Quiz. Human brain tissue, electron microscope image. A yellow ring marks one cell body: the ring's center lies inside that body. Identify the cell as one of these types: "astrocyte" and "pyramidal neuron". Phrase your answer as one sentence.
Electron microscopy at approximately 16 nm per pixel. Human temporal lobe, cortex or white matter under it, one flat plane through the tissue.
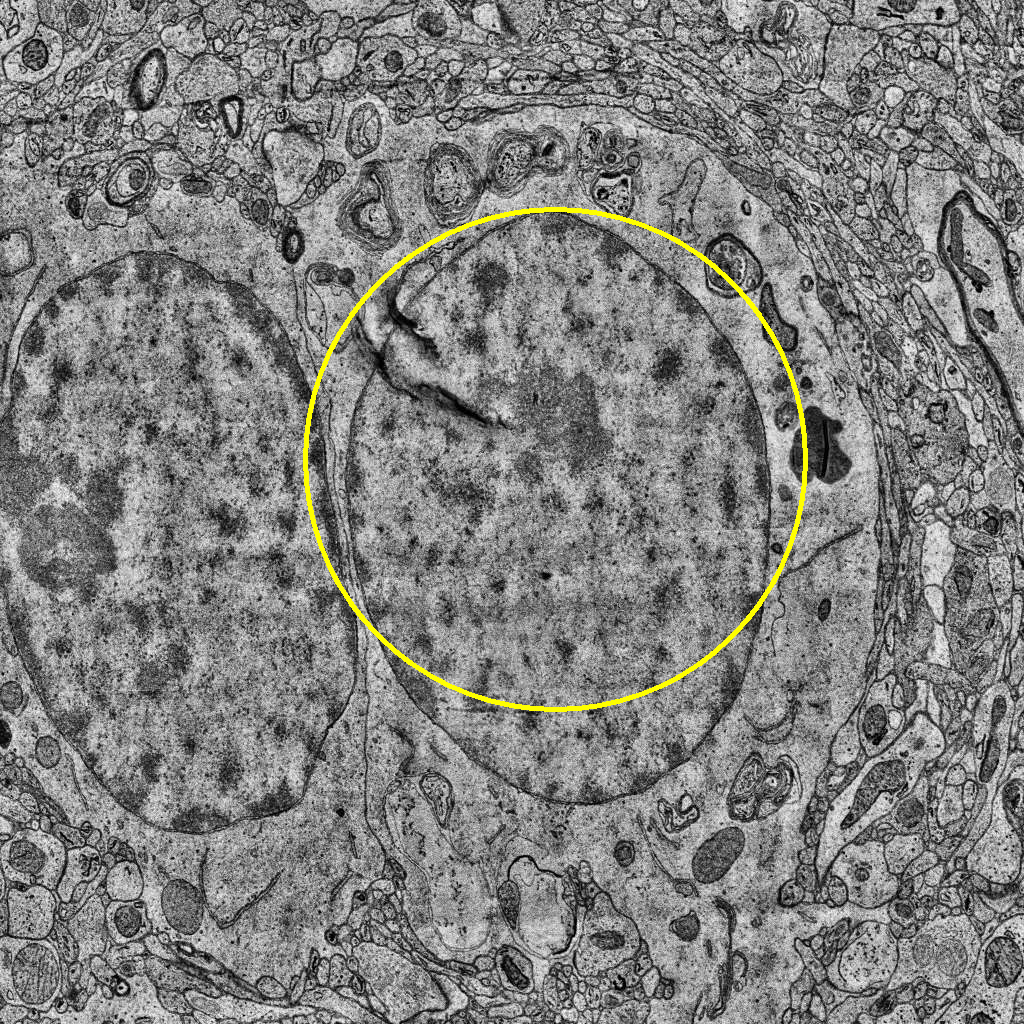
At the center of the ring sits an astrocyte.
